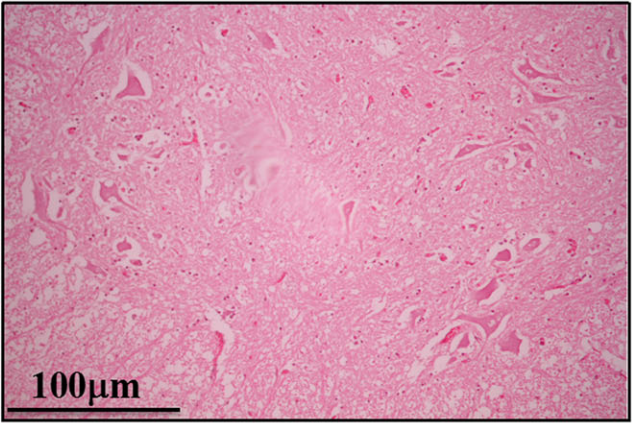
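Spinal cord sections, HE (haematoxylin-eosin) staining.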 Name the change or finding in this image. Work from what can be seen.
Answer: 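The pink neuropil is riddled with many small clear round holes. On this evidence: vacuolation of grey matter.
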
